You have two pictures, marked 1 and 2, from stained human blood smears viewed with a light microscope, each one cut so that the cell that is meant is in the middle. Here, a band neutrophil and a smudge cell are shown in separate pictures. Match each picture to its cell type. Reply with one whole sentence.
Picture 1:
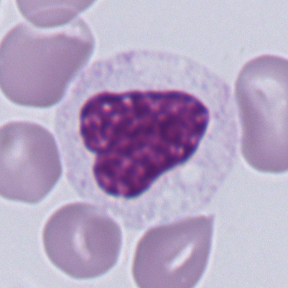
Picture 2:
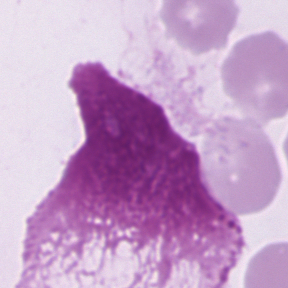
It is picture 1 that shows a band neutrophil, and picture 2 that shows a smudge cell.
